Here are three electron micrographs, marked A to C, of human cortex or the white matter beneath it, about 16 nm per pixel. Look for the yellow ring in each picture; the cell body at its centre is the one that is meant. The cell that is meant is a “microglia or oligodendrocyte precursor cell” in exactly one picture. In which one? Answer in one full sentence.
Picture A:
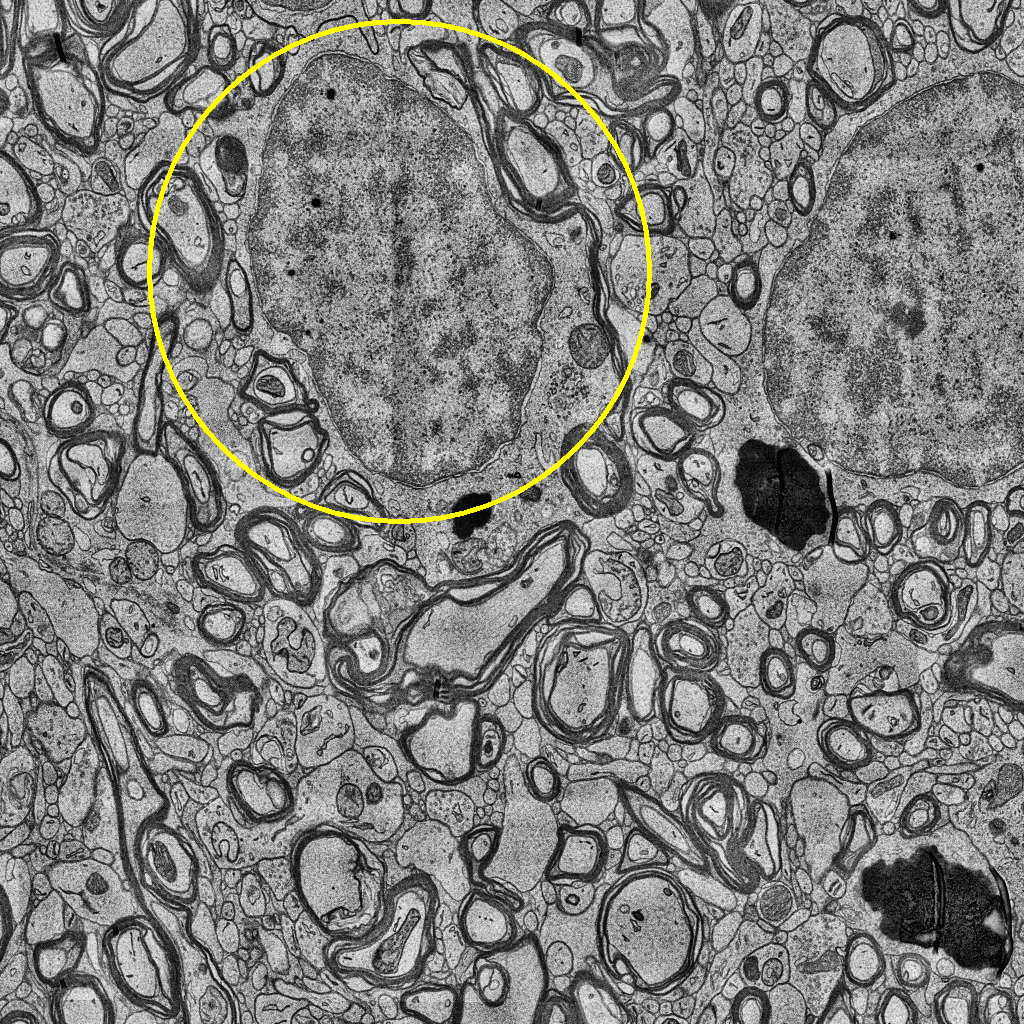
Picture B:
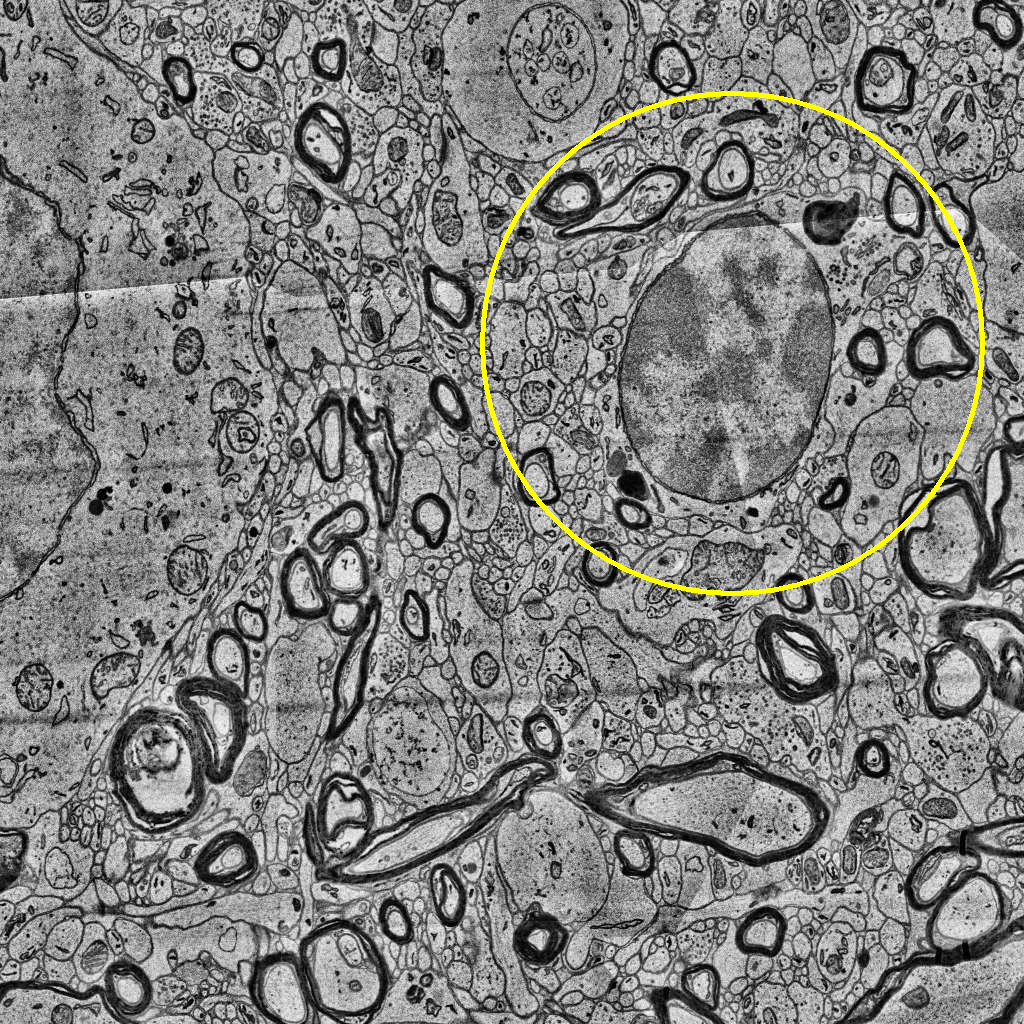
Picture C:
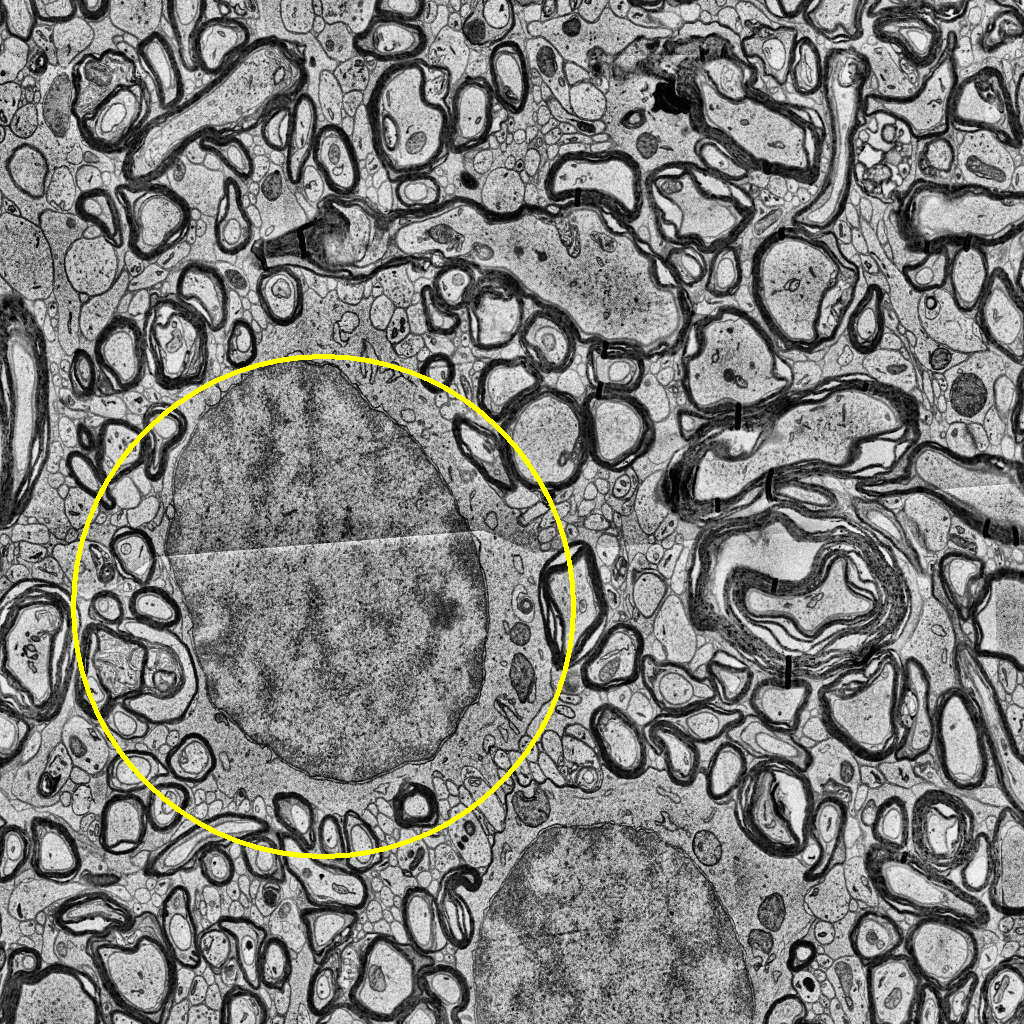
The picture with the “microglia or oligodendrocyte precursor cell” is B.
